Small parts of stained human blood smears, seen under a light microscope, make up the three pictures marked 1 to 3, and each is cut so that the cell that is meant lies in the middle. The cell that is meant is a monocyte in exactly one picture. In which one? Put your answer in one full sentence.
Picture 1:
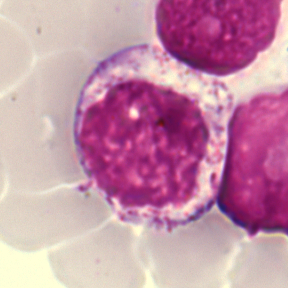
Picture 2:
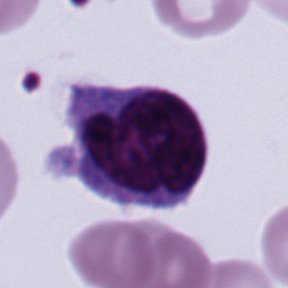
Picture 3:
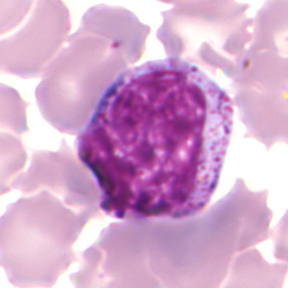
Picture 2 is the one that shows the monocyte.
